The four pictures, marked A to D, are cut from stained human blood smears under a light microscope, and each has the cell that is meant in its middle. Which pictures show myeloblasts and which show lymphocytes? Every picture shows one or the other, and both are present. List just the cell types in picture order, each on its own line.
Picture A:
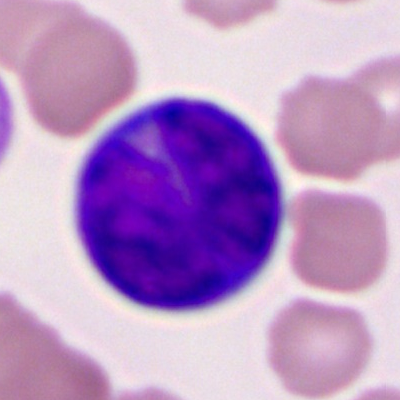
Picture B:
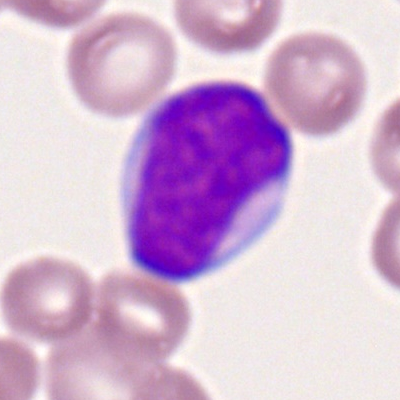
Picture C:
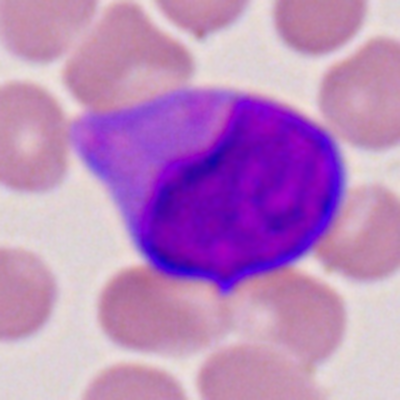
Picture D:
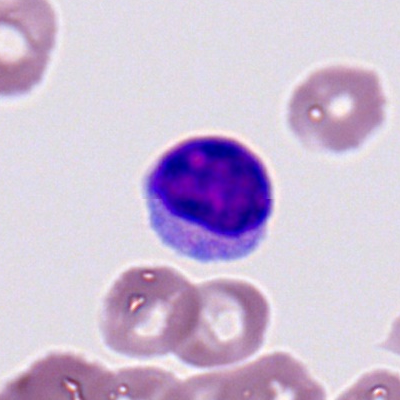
myeloblast
myeloblast
myeloblast
lymphocyte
